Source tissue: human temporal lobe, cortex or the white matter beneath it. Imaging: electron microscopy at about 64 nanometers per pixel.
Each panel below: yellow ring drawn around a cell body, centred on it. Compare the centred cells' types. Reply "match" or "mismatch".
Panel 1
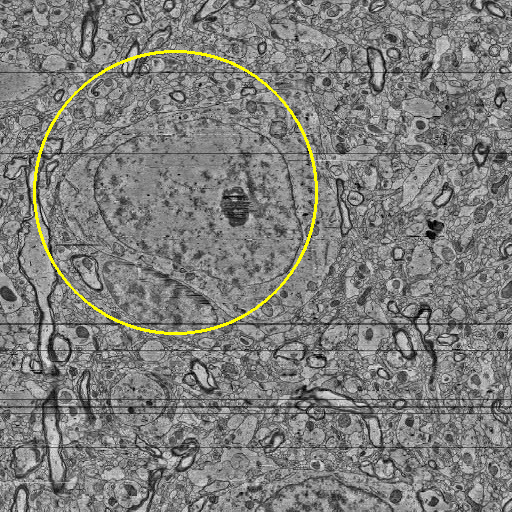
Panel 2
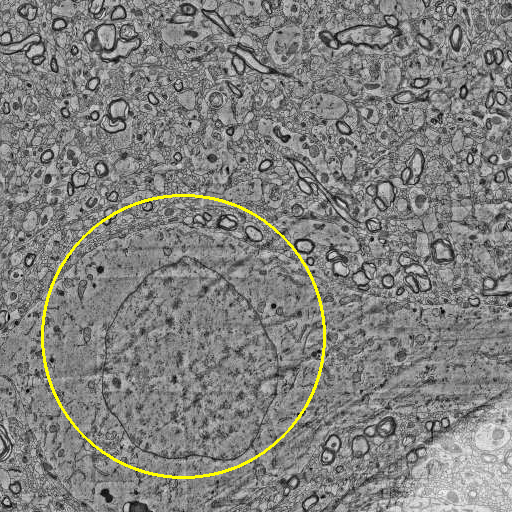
match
